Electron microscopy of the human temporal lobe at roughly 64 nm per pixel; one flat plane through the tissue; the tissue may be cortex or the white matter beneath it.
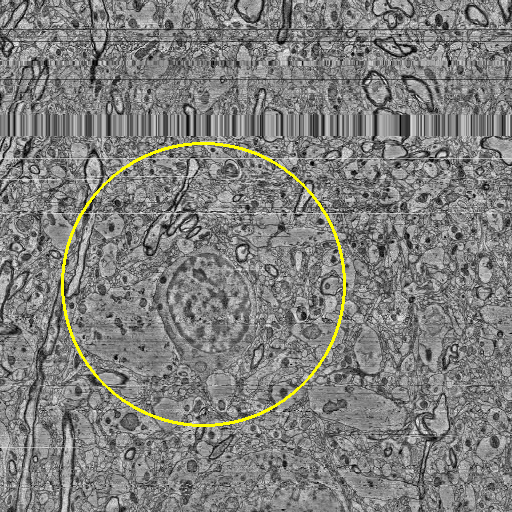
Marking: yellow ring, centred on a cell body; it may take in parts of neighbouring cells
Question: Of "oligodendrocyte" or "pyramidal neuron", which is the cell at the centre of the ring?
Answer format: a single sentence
The ring surrounds the body of an oligodendrocyte.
